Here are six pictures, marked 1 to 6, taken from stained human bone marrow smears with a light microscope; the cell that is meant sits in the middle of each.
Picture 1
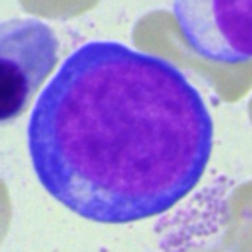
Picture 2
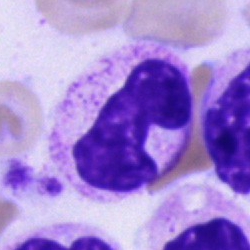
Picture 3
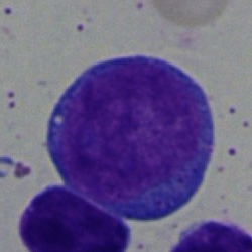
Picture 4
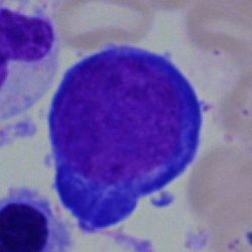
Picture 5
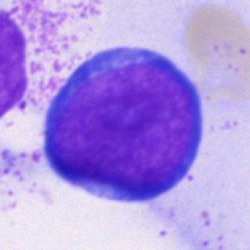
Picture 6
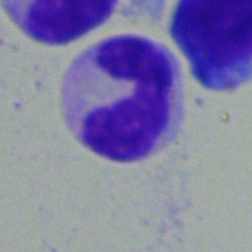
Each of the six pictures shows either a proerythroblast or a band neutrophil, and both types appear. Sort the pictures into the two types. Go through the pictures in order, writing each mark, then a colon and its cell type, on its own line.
1: proerythroblast
2: band neutrophil
3: proerythroblast
4: proerythroblast
5: proerythroblast
6: band neutrophil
